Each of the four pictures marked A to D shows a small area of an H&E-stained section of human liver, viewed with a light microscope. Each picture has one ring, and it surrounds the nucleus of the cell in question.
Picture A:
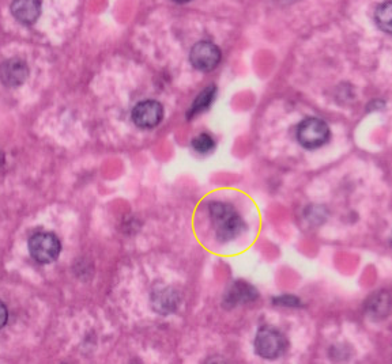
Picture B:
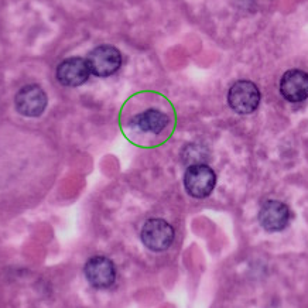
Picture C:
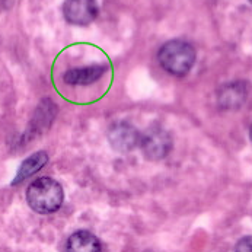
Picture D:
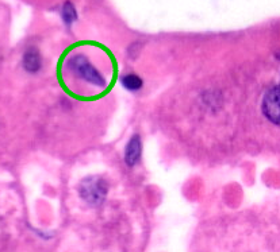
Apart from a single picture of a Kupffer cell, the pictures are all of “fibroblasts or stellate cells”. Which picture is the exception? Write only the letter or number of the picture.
A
